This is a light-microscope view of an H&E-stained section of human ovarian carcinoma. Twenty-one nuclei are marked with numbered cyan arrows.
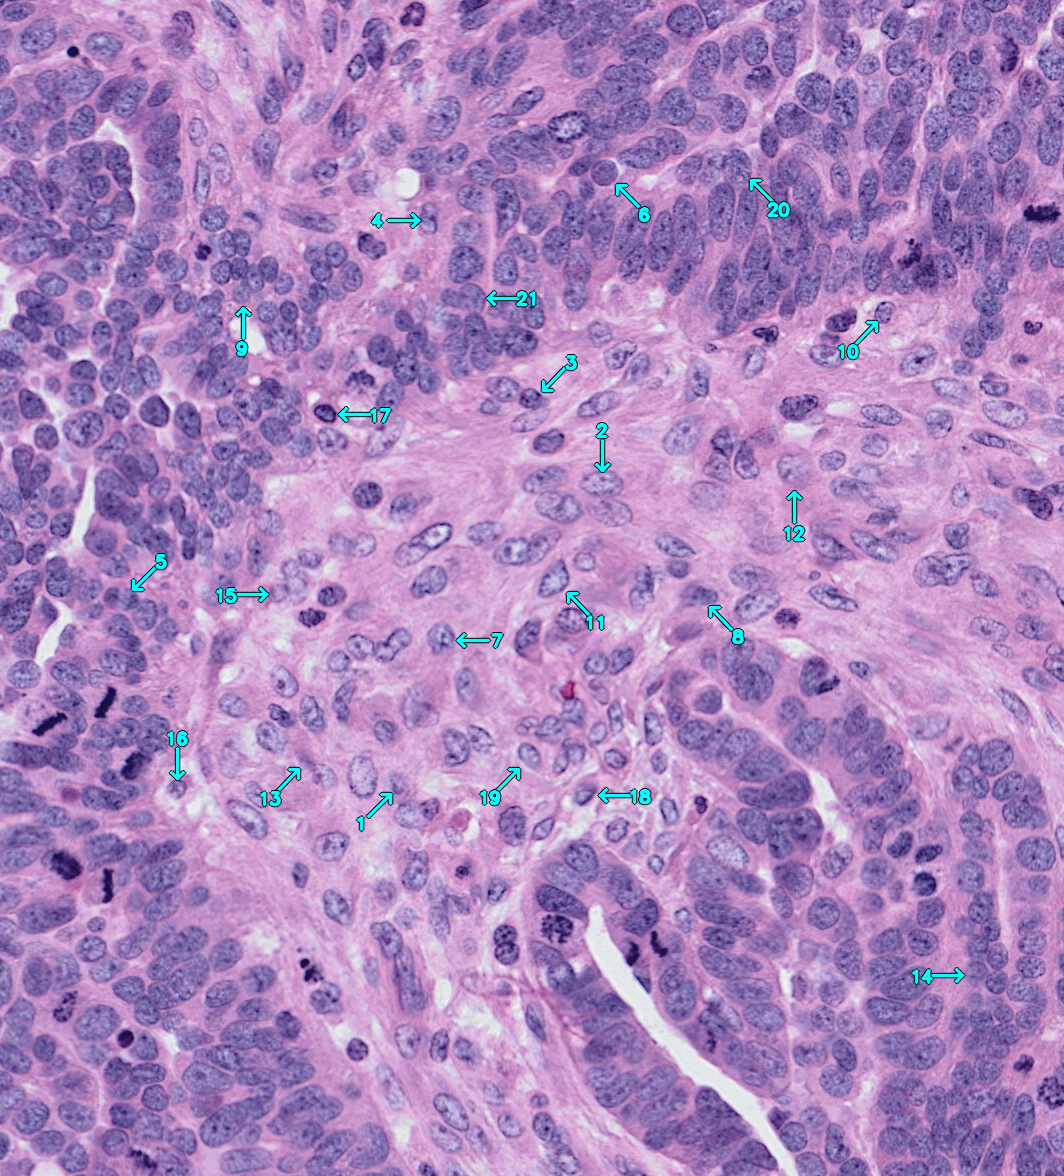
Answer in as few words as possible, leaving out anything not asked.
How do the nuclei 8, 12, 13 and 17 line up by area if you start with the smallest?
13, 17, 8, 12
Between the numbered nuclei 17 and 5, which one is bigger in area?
5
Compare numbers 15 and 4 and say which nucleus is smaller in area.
15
